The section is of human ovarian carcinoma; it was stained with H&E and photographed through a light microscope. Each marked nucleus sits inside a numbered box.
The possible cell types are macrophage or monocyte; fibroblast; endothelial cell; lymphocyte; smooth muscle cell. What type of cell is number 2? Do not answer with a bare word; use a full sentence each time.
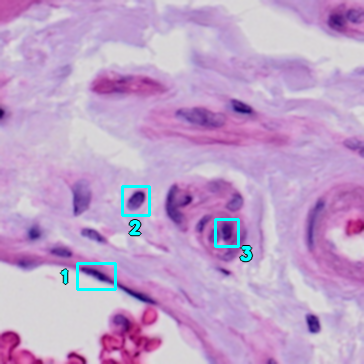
The cell identified by number 2 is a lymphocyte.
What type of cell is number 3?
The cell pointed out as number 3 is an endothelial cell.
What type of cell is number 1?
The cell to which the number 1 is assigned is an endothelial cell.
